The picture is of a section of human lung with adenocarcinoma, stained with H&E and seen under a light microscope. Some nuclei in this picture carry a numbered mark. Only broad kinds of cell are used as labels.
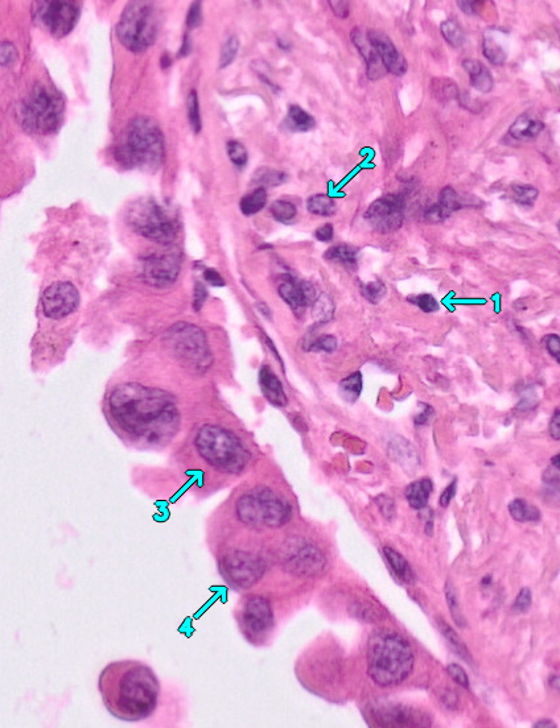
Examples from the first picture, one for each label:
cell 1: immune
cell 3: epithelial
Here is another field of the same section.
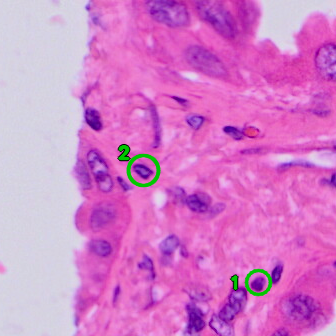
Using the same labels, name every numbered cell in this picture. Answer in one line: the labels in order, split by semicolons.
immune; immune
